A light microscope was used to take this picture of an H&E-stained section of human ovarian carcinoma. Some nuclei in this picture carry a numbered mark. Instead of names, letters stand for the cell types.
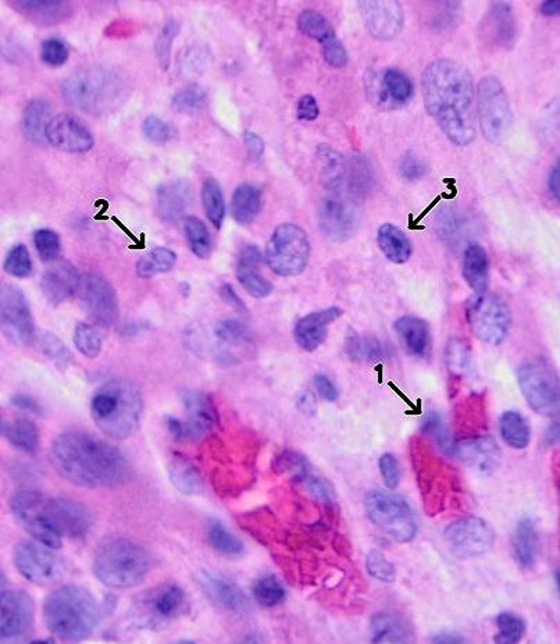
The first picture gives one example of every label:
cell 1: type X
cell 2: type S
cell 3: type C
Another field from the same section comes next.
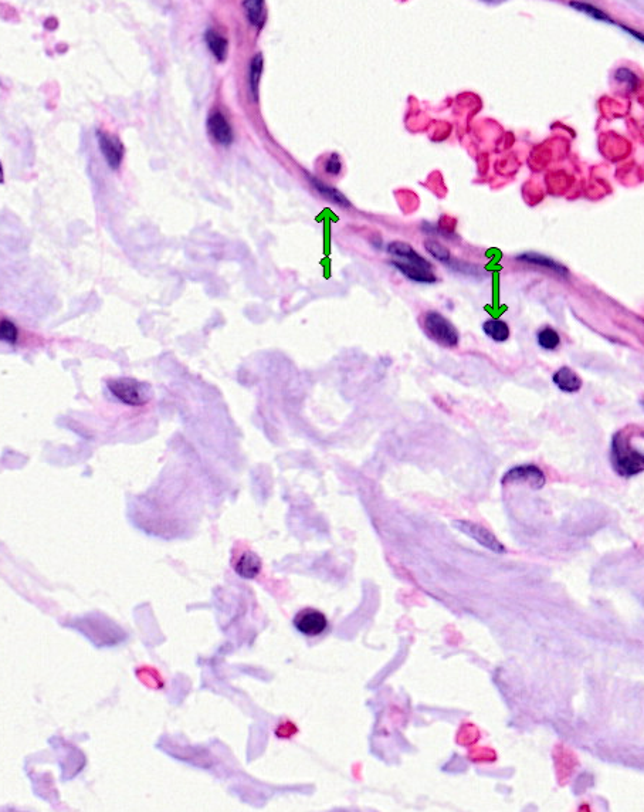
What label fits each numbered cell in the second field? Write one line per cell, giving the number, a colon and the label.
1: type X
2: type C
